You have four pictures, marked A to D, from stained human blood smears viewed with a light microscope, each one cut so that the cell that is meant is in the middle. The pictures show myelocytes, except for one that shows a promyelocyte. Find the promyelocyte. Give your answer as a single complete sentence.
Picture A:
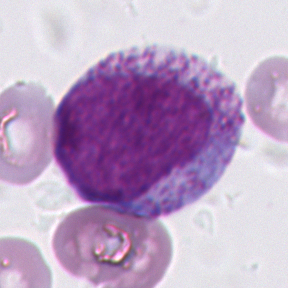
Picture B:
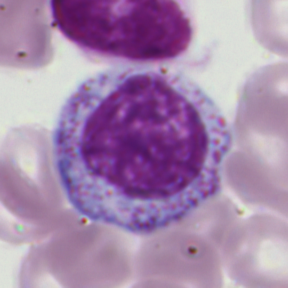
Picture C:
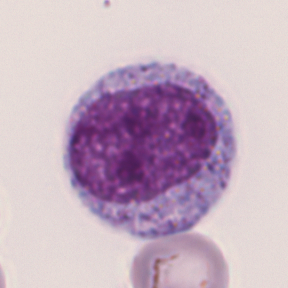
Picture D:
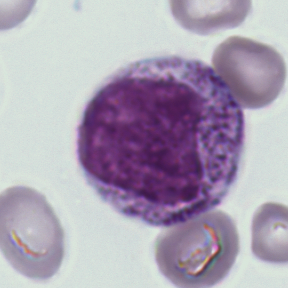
Picture A is the one that shows the promyelocyte.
